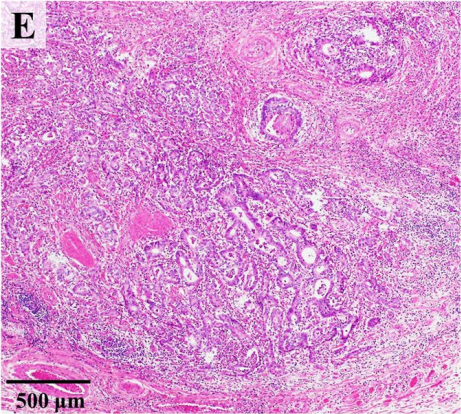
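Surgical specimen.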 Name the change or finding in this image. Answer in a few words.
Nodular and cribriform infiltrations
